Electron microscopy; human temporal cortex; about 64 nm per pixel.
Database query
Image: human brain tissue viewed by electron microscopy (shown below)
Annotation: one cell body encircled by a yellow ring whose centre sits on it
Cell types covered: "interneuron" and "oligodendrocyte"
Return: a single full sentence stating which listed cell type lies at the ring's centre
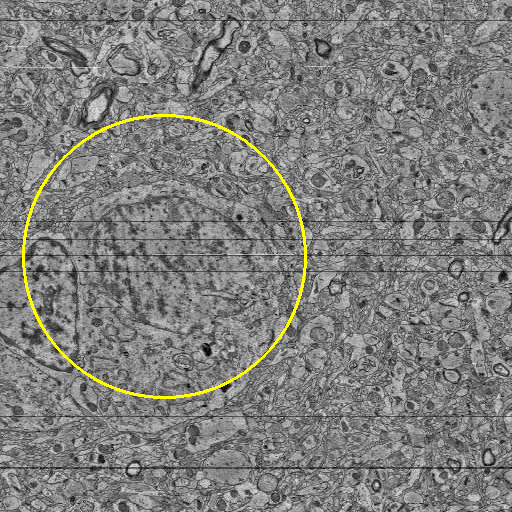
In the image, the cell lying at the ring's centre is an interneuron.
